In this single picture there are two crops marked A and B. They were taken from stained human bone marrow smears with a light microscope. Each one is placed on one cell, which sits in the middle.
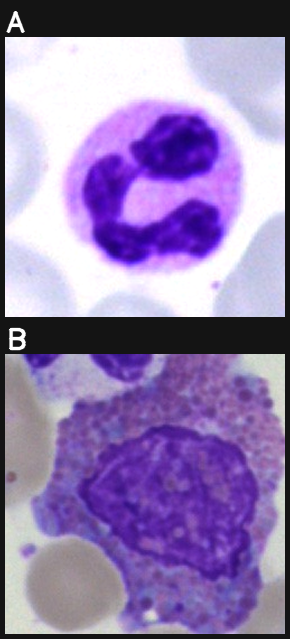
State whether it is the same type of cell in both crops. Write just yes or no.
no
